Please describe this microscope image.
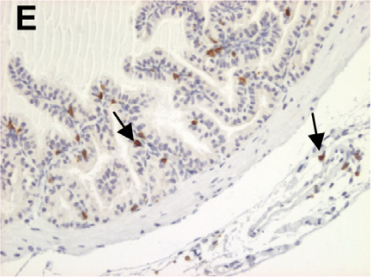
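A gland with tightly folded epithelium occupies most of the field, its crowded blue nuclei lining narrow branching spaces of the lumen. Many small brown-stained cells lie among the epithelial cells, often elongated or rounded with little cytoplasm. Outside the gland a band of pale stroma separates it from another region, and a few more brown cells lie in that surrounding tissue.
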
